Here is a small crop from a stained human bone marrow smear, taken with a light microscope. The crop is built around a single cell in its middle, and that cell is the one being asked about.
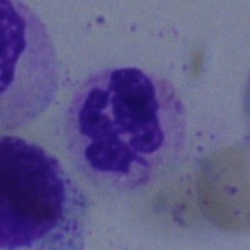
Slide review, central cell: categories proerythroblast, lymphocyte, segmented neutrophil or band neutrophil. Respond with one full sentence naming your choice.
The cell sitting right in the middle is a segmented neutrophil.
